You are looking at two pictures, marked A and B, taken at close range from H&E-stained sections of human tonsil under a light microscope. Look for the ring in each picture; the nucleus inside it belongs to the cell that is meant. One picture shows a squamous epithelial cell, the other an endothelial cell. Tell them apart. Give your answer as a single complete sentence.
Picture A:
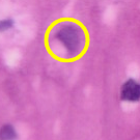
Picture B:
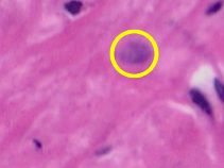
The cell in picture A is a squamous epithelial cell, and the one in picture B is an endothelial cell.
